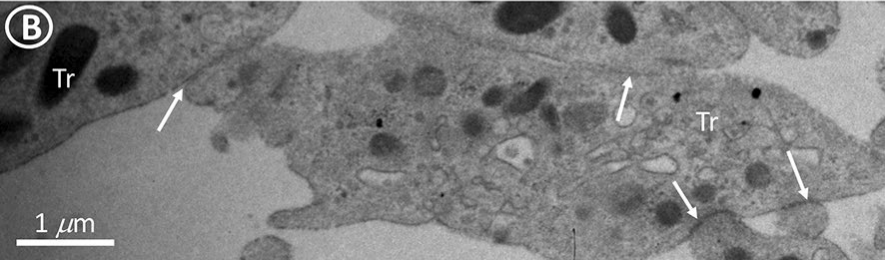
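At higher magnification you see platelets lying side by side, each an irregular profile without a nucleus. Their cytoplasm holds round and oval dark granules and some pale vesicles. Where neighbouring platelets touch, their membranes run close together and appear dark and thickened on the inner side, forming adhesion plaques between the cells.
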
